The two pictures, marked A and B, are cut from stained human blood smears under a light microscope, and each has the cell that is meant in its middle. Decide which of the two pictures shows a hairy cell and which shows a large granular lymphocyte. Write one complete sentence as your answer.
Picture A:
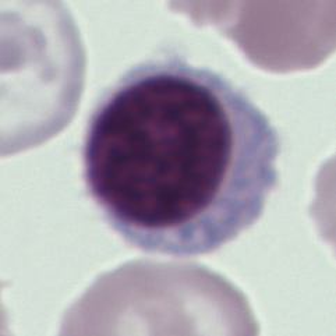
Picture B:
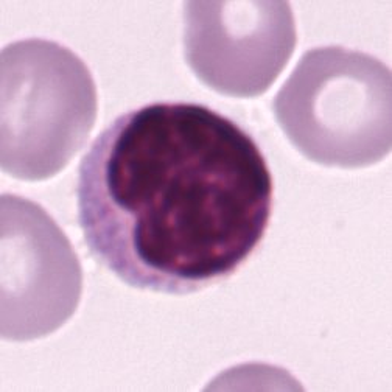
Picture B shows a large granular lymphocyte, while picture A shows a hairy cell.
